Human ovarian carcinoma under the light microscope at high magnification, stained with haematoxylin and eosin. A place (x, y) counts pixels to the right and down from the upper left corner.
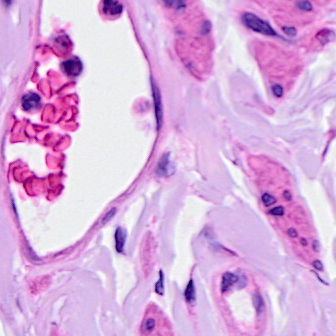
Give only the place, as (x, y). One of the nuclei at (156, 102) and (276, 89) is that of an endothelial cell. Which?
(156, 102)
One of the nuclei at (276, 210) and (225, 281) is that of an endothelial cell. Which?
(225, 281)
